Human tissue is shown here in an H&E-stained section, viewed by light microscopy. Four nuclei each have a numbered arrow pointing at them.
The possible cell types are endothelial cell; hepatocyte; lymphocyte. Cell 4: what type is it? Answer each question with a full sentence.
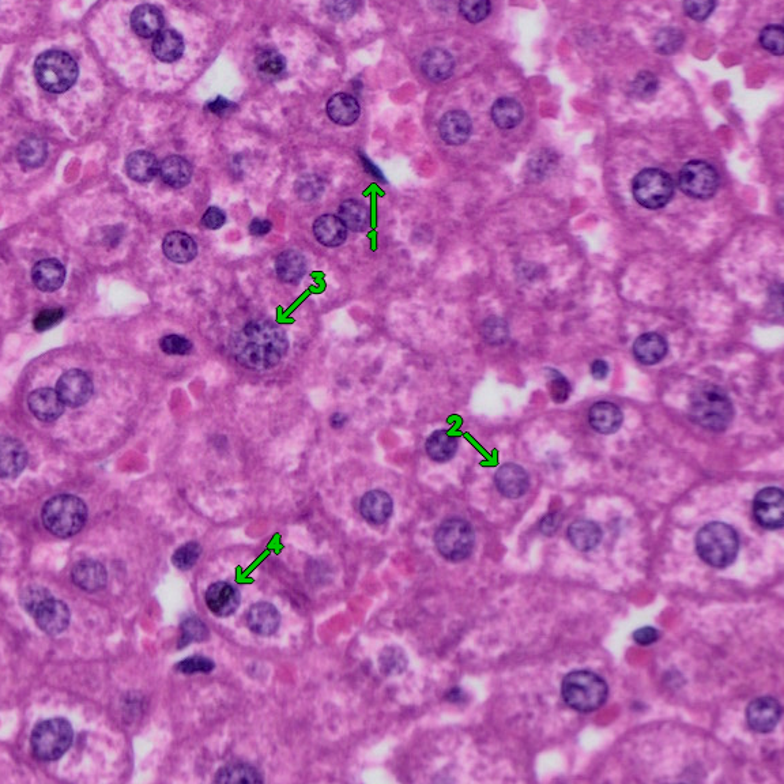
Looking at the numbered marks, cell 4 is a hepatocyte.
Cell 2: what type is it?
The cell whose nucleus carries the number 2 is a hepatocyte.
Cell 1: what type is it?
The cell pointed out by number 1 is an endothelial cell.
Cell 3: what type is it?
The cell bearing label 3 corresponds to a hepatocyte.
